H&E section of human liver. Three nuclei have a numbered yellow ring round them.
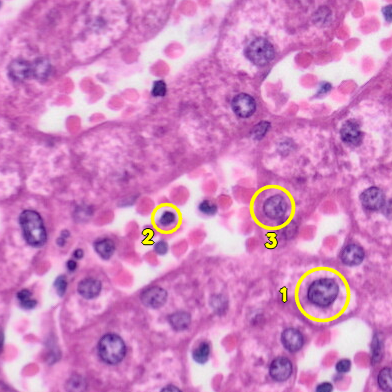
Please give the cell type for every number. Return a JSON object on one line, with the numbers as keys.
{"1": "hepatocyte", "2": "lymphocyte", "3": "hepatocyte"}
